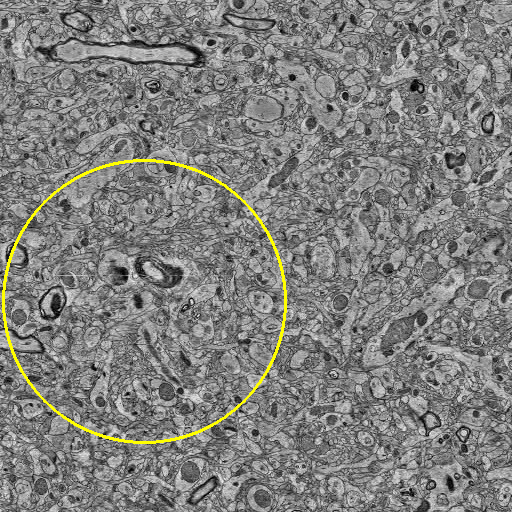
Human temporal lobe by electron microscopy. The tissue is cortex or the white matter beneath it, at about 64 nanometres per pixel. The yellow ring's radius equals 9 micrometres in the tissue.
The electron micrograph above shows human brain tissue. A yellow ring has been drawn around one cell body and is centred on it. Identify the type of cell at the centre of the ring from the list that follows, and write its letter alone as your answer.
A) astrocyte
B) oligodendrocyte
B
